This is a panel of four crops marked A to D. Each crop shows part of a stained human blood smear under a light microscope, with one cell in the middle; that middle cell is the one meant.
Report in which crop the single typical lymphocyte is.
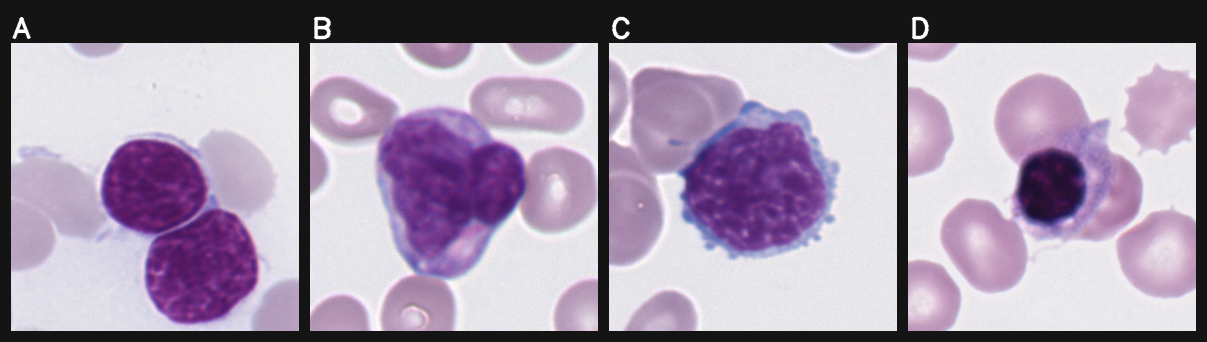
C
